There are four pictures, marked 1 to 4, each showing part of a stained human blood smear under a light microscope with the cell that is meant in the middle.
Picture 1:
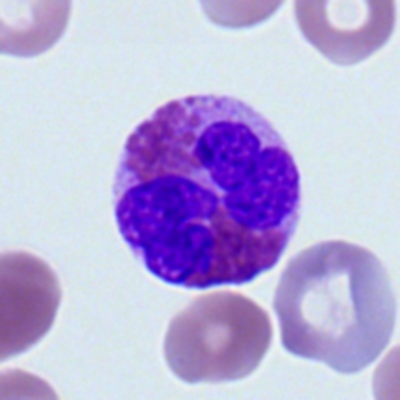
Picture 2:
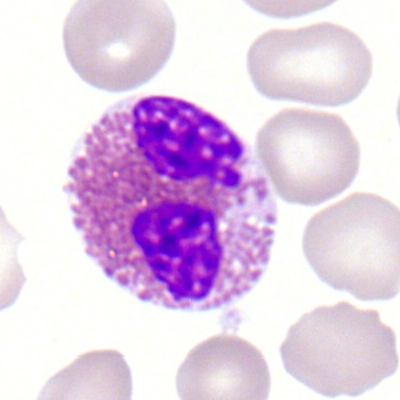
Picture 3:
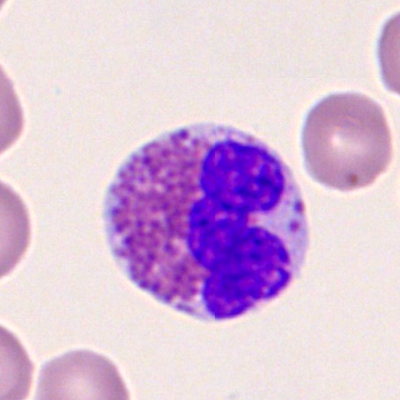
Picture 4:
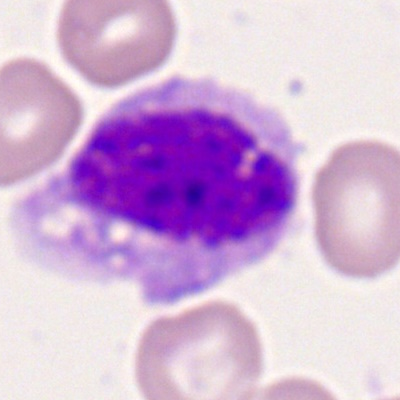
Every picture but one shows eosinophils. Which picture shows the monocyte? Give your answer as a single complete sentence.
It is picture 4 that shows the monocyte.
